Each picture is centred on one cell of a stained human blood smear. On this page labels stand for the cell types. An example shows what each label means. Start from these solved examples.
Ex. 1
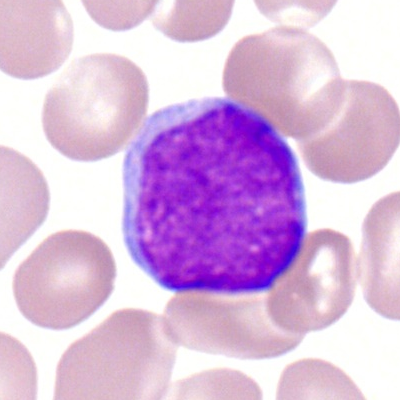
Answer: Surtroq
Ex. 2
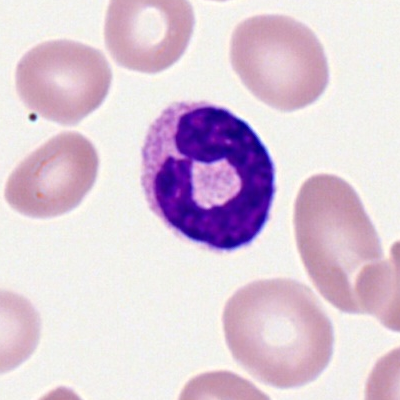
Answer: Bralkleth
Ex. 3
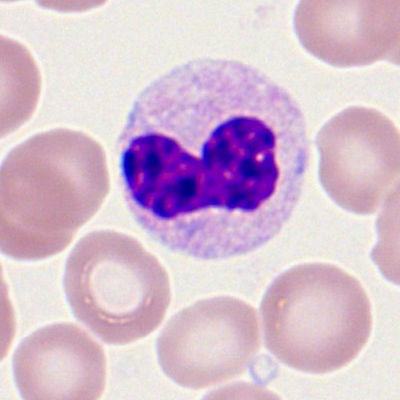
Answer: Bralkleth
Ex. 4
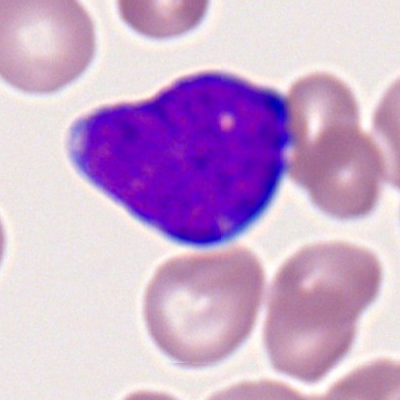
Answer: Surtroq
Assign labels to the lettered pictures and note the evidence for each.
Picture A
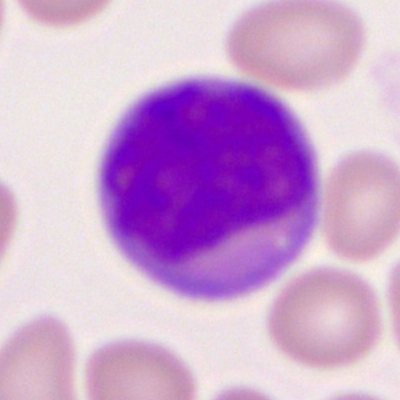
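Answer: Surtroq. The nucleus fills most of the cell.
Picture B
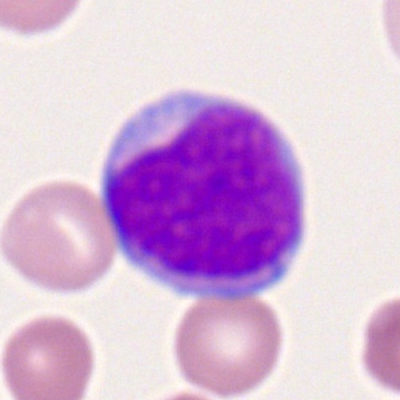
Answer: Surtroq. The nucleus fills most of the cell.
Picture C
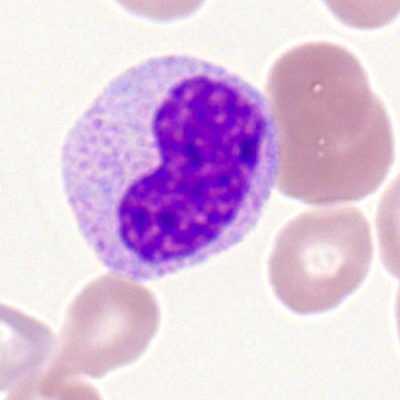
Answer: Bralkleth. The cytoplasm is abundant and pale lilac.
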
